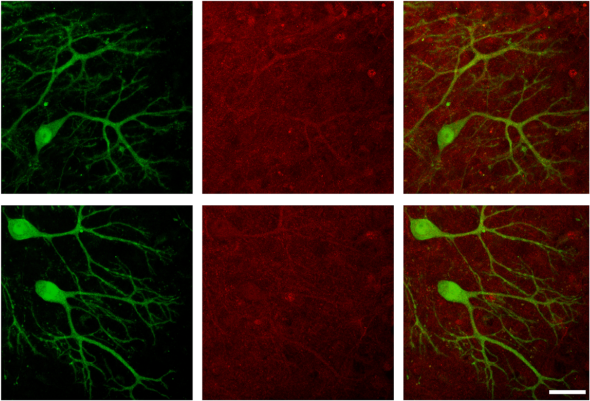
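In each row, one or two big rounded cell bodies give off a thick primary dendrite. The primary dendrite divides repeatedly into a wide, branching dendritic tree with many thinner side branches. The red stain is faint and diffuse across the field, with a few small brighter dots. Where the two colours are merged, the green dendrites stand out over the weak red background.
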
